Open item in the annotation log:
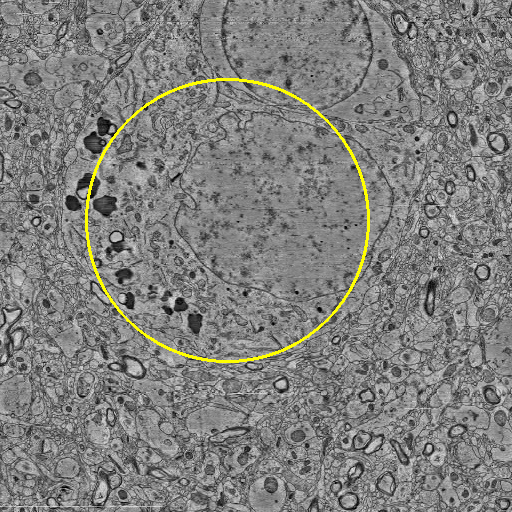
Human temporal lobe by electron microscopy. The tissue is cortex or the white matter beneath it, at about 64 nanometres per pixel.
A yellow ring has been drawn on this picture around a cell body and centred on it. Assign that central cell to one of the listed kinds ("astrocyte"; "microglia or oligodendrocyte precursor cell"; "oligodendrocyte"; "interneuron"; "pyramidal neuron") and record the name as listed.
pyramidal neuron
